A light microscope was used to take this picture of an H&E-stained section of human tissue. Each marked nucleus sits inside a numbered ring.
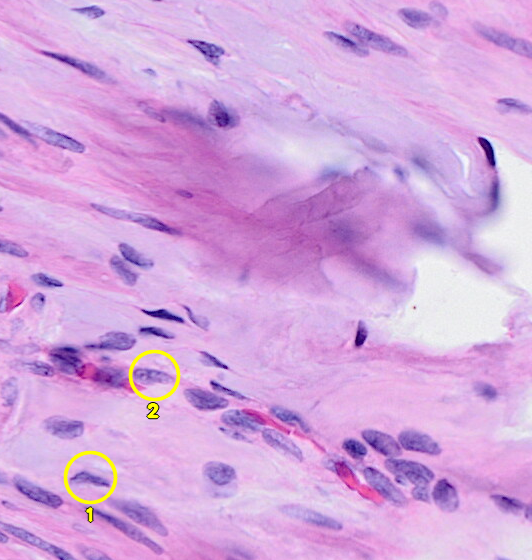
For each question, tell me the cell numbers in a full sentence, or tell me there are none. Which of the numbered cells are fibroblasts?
Only at number 1 is there a fibroblast among the marked cells.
